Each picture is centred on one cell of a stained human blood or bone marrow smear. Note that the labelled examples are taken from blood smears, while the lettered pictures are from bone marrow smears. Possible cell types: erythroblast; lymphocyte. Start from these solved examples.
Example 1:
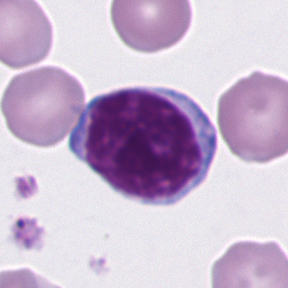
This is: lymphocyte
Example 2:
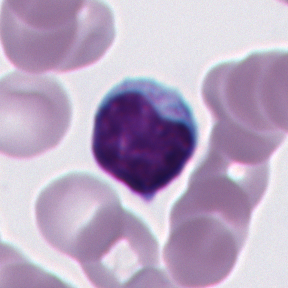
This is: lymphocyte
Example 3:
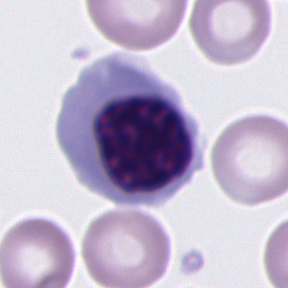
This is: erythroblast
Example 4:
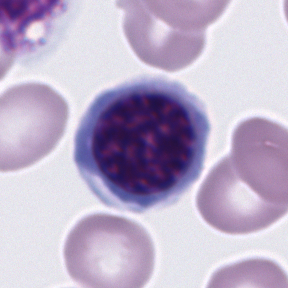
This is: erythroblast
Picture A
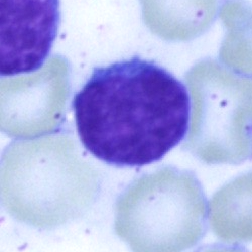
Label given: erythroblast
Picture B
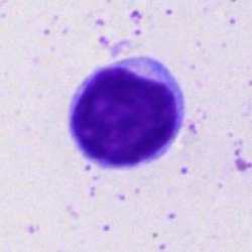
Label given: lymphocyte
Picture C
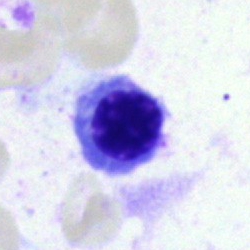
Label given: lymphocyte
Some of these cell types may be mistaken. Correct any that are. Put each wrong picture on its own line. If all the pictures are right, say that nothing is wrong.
A should be lymphocyte, not erythroblast
C should be erythroblast, not lymphocyte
